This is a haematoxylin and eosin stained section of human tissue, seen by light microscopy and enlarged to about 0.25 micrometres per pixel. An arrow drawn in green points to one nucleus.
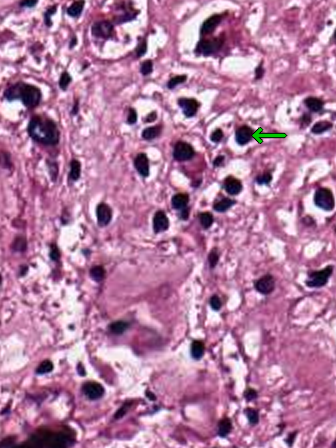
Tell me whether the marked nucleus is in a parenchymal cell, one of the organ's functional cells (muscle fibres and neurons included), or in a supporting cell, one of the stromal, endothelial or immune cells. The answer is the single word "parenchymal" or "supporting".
supporting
